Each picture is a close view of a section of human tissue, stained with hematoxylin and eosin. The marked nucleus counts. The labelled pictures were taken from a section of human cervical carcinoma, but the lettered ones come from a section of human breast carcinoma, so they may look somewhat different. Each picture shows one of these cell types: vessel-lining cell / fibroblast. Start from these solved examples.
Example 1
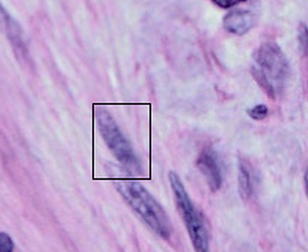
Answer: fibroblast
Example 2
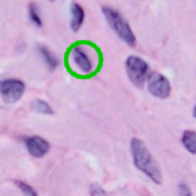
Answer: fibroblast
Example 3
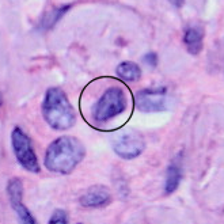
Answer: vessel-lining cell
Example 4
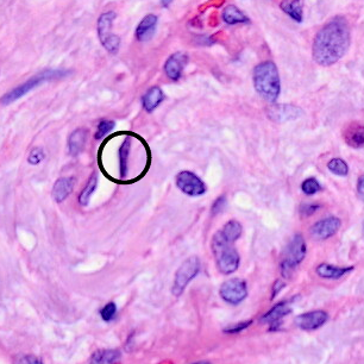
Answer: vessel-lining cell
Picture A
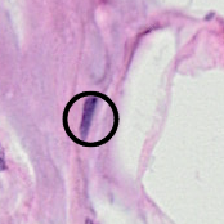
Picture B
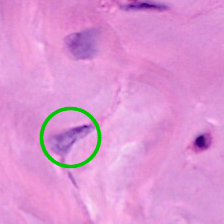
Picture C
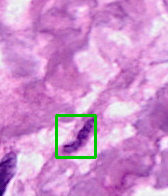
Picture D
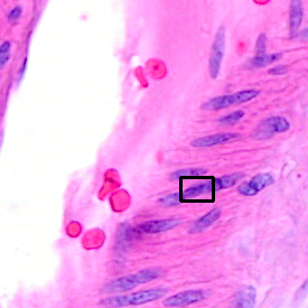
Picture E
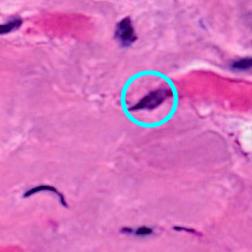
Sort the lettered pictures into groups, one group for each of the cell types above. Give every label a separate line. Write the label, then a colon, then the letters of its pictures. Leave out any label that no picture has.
vessel-lining cell: D
fibroblast: A, B, C, E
